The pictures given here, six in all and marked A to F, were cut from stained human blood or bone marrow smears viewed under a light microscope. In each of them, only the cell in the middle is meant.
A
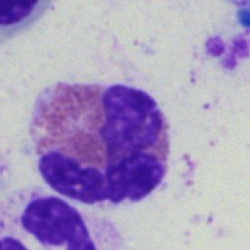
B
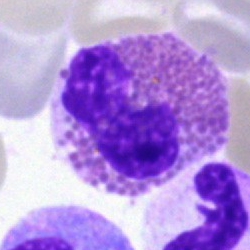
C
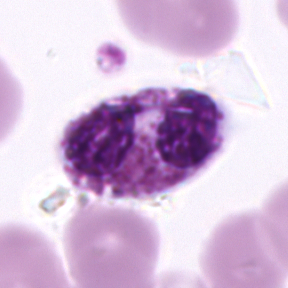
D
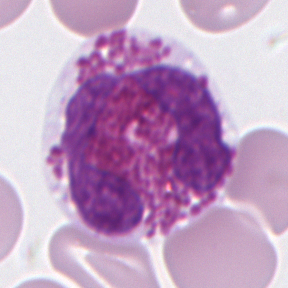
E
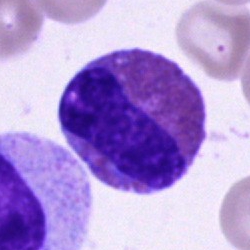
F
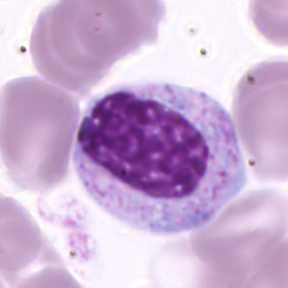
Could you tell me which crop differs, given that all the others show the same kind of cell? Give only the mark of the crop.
F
